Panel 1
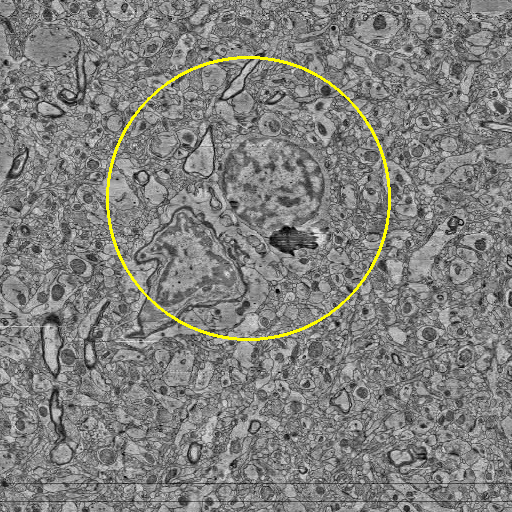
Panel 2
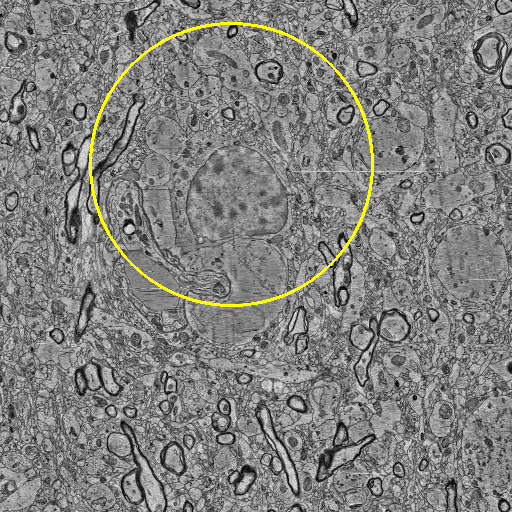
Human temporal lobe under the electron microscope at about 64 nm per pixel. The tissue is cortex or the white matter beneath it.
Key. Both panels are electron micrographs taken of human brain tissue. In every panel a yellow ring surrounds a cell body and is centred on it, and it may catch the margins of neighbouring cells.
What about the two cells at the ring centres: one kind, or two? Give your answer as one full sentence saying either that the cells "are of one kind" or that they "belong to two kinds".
Across Panels 1 and 2, the two cells at the ring centres are of one kind.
